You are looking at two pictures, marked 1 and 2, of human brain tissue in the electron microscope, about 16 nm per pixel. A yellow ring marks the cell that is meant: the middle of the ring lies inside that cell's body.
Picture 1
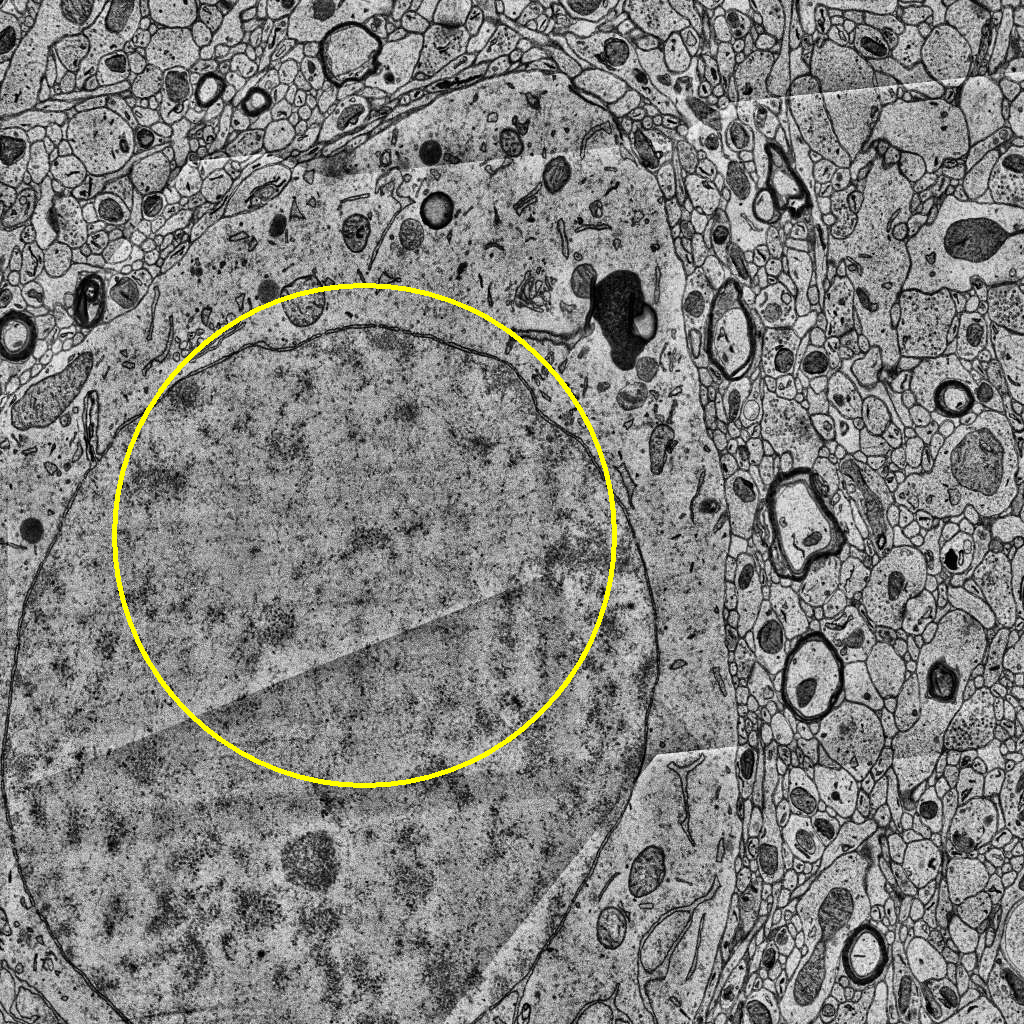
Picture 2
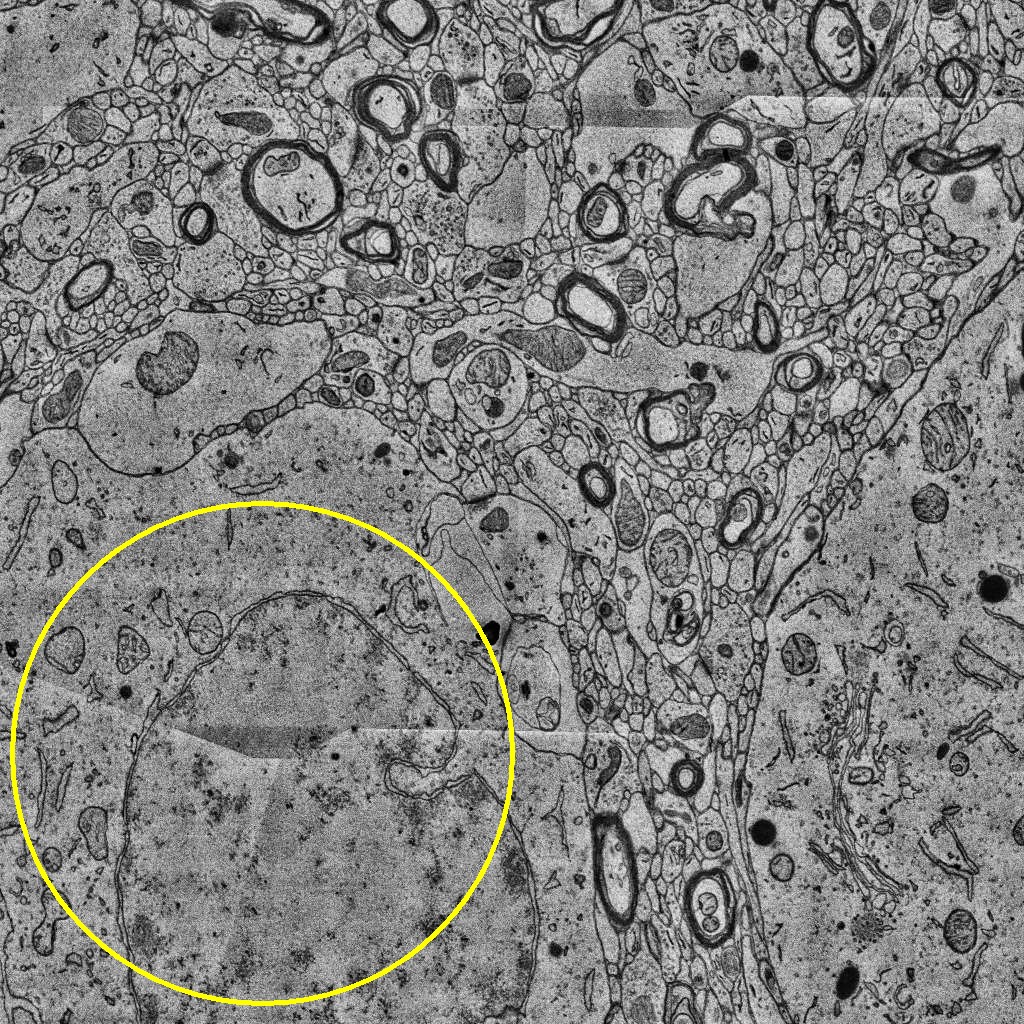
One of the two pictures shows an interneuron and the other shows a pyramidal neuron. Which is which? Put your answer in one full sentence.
Picture 2 shows an interneuron, while picture 1 shows a pyramidal neuron.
